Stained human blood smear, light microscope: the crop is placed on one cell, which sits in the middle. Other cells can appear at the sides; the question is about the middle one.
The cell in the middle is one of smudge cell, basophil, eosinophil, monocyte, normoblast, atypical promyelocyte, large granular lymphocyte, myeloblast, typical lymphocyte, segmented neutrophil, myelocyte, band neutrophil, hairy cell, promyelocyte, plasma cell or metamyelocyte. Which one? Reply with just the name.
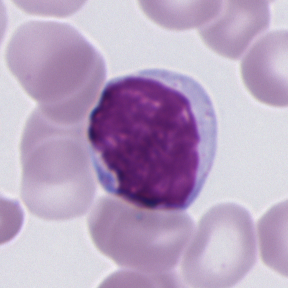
large granular lymphocyte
